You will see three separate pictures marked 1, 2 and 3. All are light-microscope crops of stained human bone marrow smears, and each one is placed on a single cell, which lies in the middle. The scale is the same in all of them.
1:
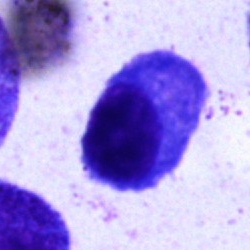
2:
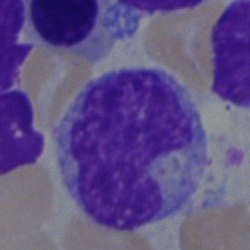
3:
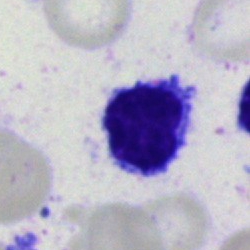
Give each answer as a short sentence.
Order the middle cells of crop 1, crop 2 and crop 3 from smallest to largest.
From the smallest up, the order is 3, 1, 2.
